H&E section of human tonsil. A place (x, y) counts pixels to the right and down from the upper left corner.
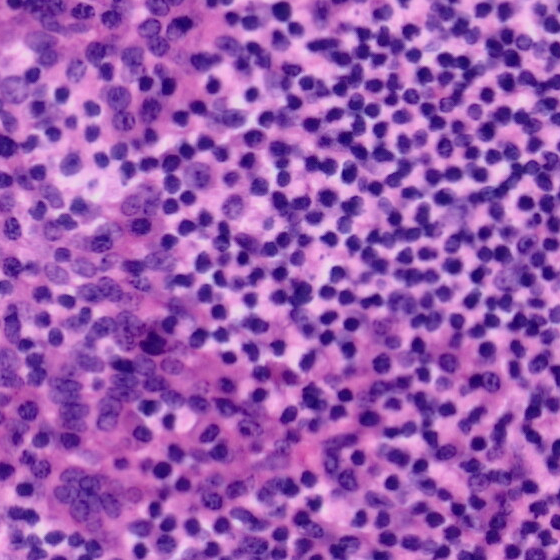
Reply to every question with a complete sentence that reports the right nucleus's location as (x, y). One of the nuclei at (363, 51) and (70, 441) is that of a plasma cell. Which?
The nucleus that sits at (70, 441) is the nucleus of a plasma cell.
